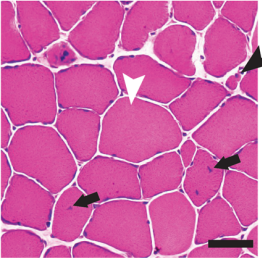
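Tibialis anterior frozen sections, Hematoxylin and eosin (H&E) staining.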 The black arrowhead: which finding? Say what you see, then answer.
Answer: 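The black arrowhead points to a small fiber at the upper right, much smaller than the fibers around it. So: myofiber atrophy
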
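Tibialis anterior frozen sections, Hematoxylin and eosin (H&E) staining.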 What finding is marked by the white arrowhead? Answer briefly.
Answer: Hypertrophy.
